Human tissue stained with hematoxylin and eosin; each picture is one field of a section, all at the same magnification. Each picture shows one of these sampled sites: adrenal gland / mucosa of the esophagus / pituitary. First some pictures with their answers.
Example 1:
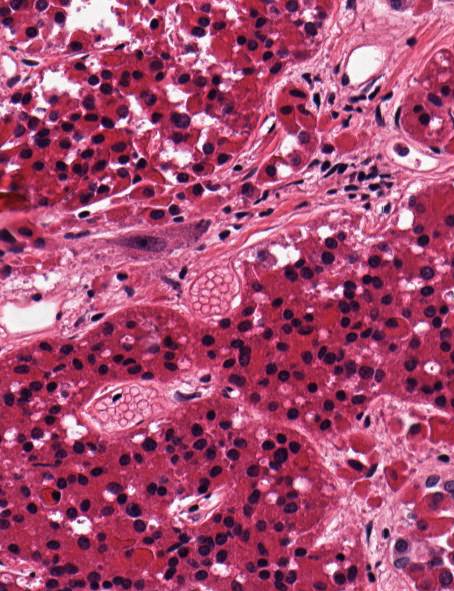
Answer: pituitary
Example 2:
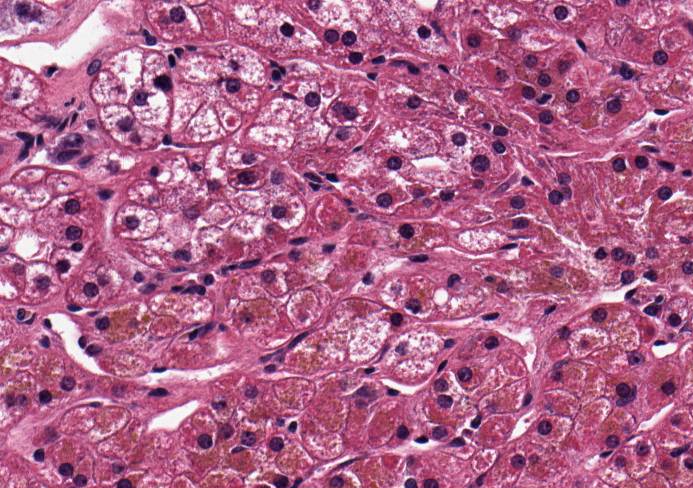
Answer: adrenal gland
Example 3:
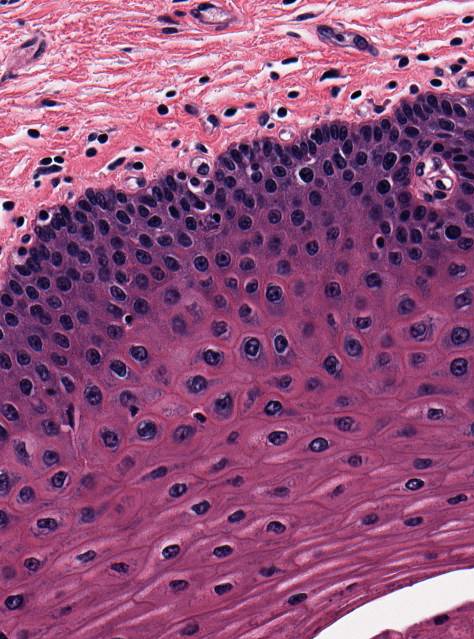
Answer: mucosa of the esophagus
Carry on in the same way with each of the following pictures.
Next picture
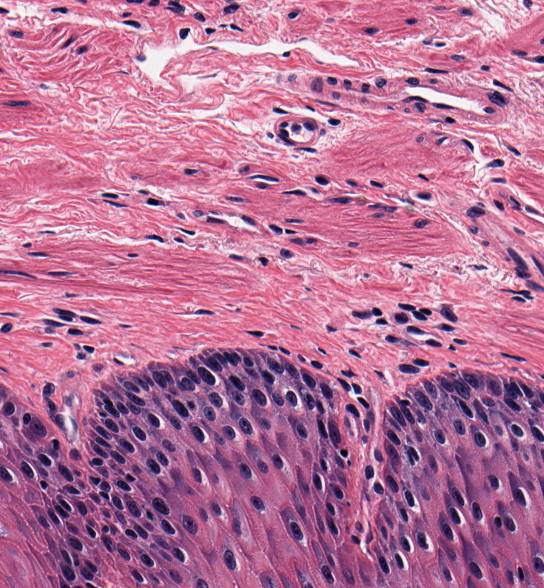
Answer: mucosa of the esophagus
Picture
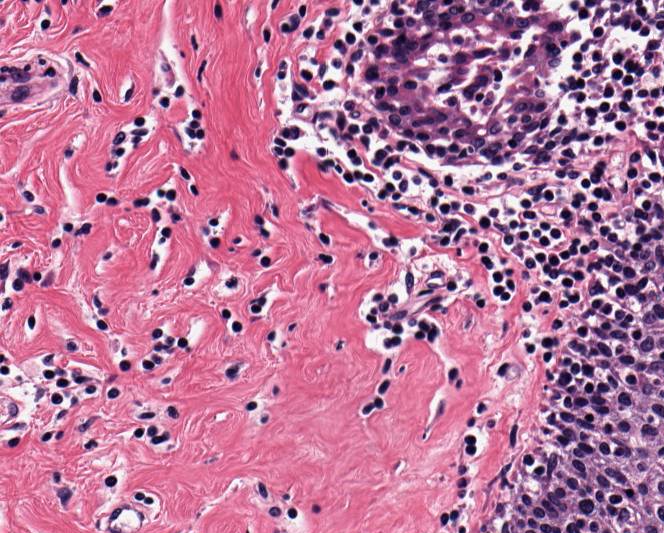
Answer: mucosa of the esophagus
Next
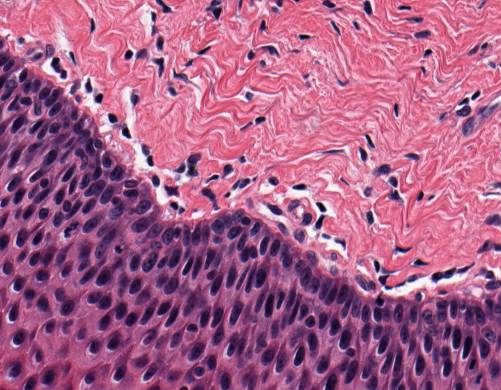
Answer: mucosa of the esophagus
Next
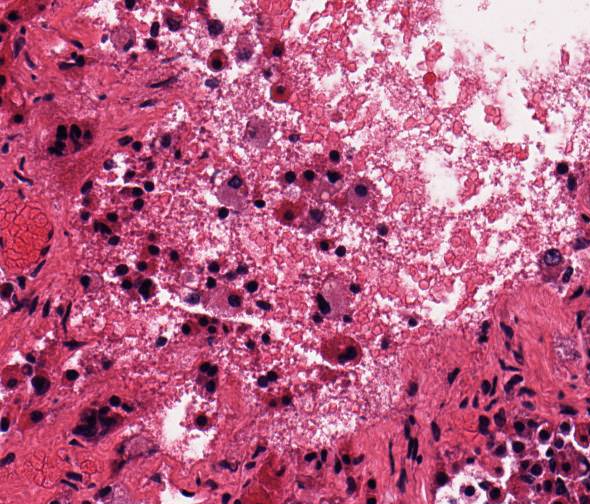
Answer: pituitary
